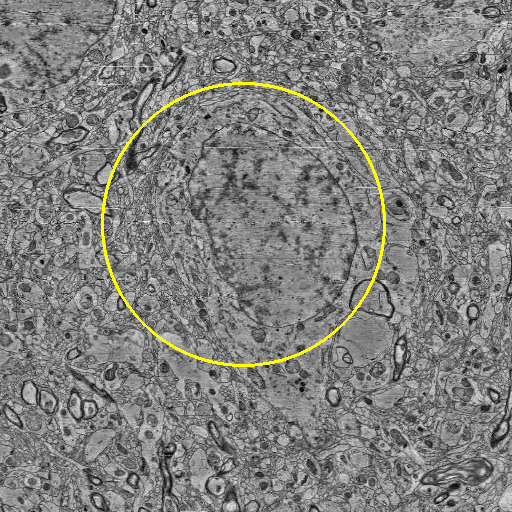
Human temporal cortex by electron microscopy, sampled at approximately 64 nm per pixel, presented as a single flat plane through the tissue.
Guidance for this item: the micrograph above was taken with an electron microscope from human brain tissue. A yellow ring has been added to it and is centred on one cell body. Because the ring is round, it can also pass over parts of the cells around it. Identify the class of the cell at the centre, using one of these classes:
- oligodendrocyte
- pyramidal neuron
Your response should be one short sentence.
The ring surrounds the body of a pyramidal neuron.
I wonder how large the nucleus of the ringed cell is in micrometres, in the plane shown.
The nucleus comes to roughly 13 by 9 micrometres in this plane.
